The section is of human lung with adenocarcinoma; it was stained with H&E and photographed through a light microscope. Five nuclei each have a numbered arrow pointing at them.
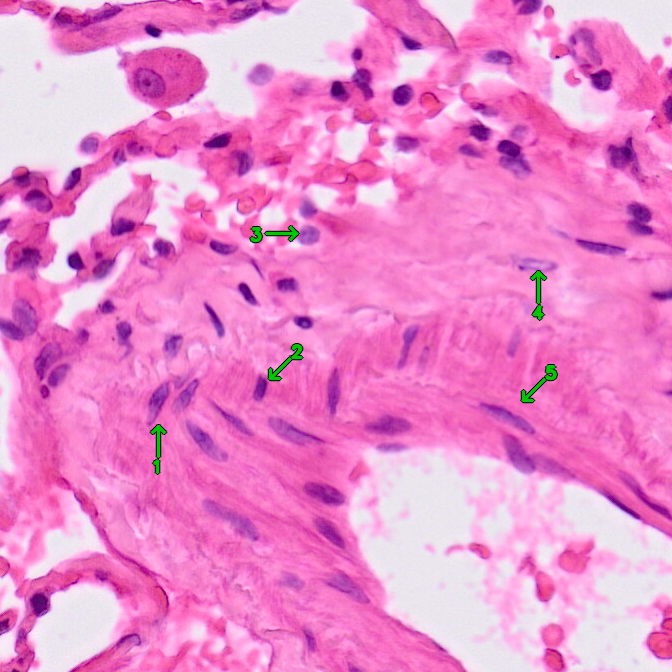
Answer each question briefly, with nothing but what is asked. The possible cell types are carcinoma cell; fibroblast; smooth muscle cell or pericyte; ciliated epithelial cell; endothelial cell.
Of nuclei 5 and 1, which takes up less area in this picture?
1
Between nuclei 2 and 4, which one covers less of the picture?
2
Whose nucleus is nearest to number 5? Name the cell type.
endothelial cell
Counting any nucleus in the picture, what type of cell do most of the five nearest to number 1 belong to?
smooth muscle cell or pericyte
